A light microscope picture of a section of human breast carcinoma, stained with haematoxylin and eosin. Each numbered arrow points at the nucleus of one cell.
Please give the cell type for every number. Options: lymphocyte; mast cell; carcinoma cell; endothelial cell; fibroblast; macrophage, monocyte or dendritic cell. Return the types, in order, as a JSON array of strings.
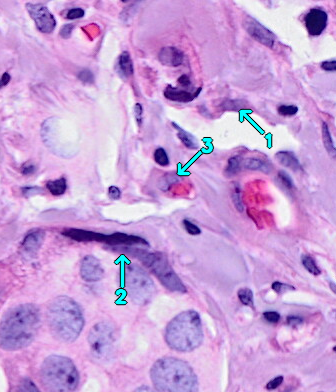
["fibroblast", "carcinoma cell", "endothelial cell"]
